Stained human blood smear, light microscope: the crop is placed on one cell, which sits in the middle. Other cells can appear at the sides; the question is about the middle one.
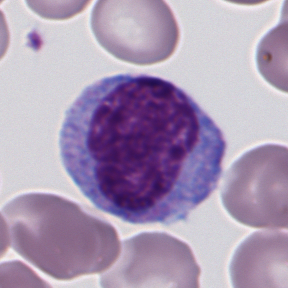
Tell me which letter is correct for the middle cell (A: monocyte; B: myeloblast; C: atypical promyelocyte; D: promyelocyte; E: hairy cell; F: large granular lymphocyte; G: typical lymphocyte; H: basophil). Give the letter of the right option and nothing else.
A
